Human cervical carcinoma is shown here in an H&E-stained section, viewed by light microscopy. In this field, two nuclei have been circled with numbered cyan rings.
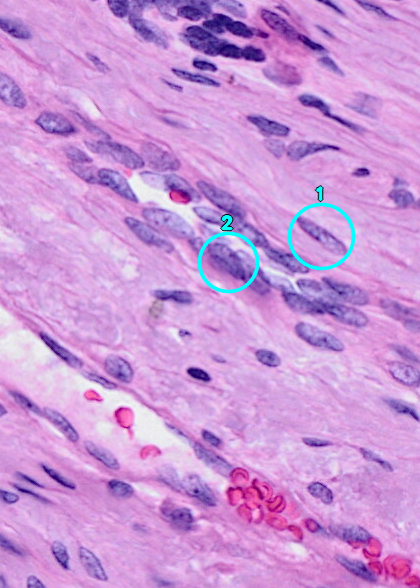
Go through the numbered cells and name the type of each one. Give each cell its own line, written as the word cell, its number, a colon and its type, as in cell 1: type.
cell 1: smooth muscle cell
cell 2: endothelial cell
